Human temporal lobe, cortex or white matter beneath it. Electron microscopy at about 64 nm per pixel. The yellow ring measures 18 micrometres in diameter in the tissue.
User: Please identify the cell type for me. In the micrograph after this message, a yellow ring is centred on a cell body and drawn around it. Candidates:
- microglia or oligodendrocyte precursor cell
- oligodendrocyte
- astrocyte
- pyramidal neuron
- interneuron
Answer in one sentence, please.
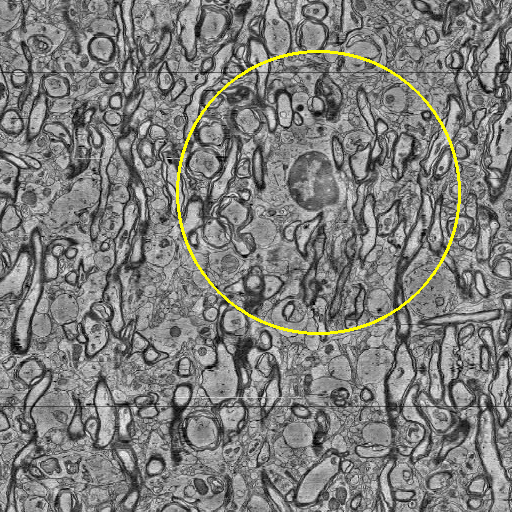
The ring is drawn around the cell body of a microglial cell or oligodendrocyte precursor cell.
